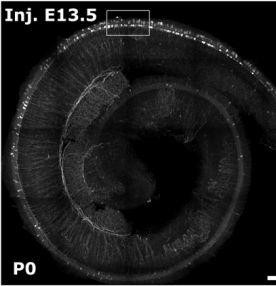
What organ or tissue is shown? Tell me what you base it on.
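Cochleas. The tissue forms a coiled spiral of more than one turn. A band of bright dots runs along the outer edge of the spiral. Fine radial striations cross the width of the spiral.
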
